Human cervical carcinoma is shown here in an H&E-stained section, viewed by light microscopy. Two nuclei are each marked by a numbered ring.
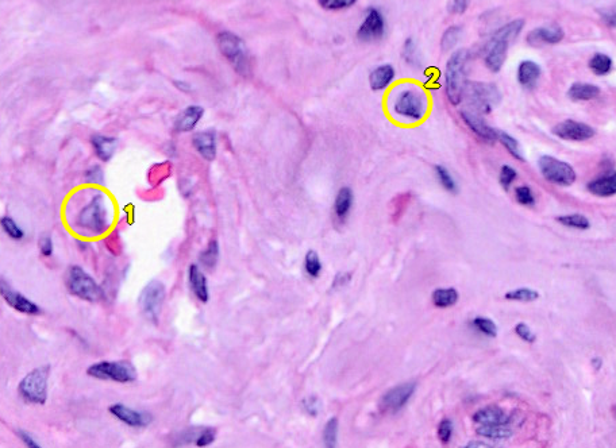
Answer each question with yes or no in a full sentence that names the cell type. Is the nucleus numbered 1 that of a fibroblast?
No; cell 1 is an endothelial cell, not a fibroblast.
